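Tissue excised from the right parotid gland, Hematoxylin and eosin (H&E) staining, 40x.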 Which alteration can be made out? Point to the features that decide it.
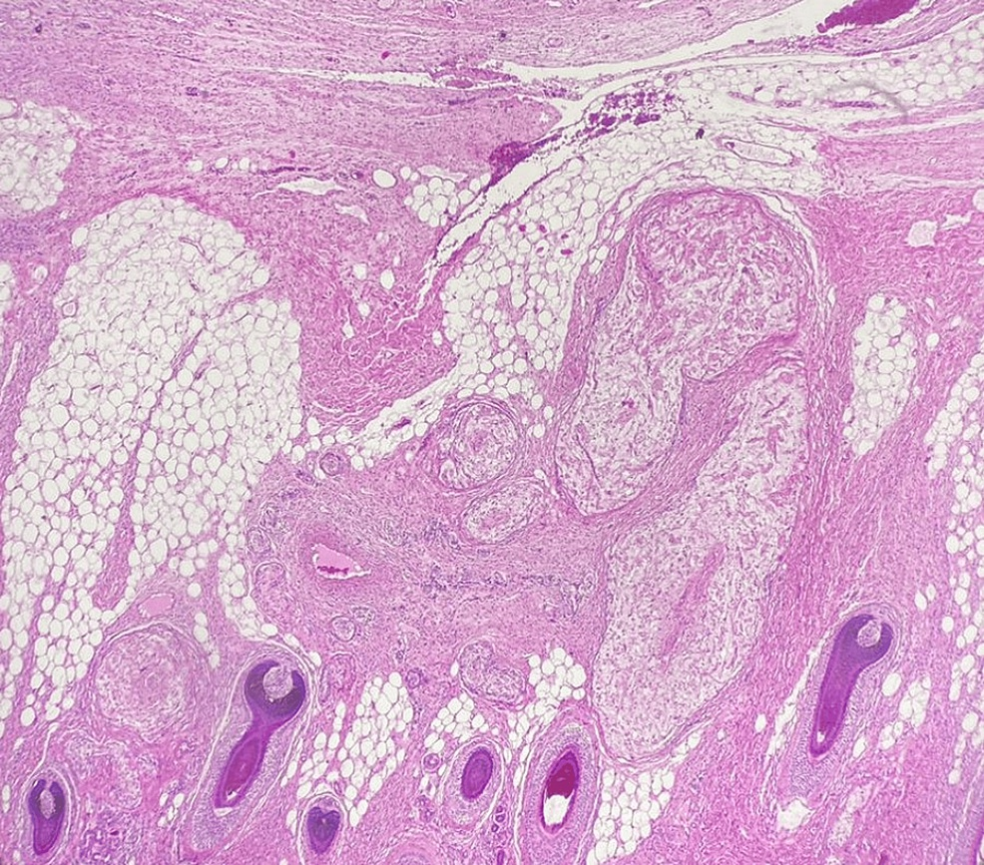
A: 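Several enlarged, rounded to elongated nodules, each bounded by a thin fibrous rim. The nodules contain pale, loose, wavy spindle-cell tissue. Smaller nerve bundles lie next to the large nodules in a fibrous stroma.
Answer: plexiform neurofibroma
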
